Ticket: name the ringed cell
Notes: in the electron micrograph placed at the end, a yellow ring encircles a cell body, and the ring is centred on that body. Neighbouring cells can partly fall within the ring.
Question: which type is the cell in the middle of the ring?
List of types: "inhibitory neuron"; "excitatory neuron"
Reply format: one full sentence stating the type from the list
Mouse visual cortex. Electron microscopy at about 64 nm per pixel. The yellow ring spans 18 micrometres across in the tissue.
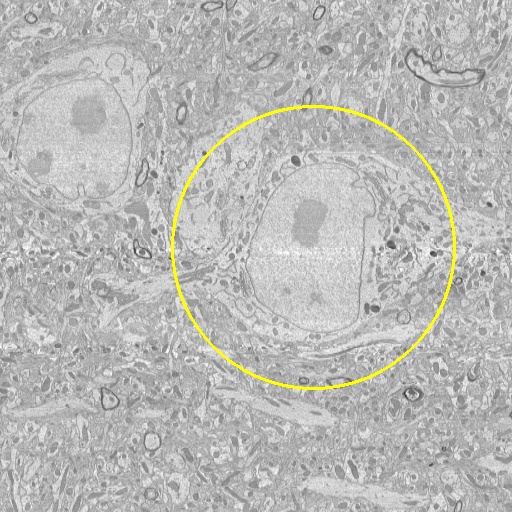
The cell sitting at the centre of the yellow ring is an inhibitory neuron.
